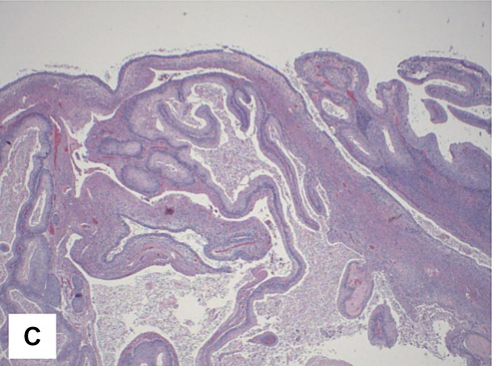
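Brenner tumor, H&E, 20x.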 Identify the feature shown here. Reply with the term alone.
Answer: Cystic area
